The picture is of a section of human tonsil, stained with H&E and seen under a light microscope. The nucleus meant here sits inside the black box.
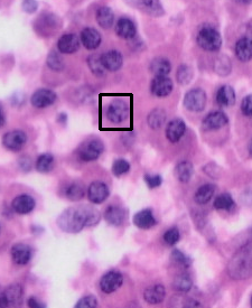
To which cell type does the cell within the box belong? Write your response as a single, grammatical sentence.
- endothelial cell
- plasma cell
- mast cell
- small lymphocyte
Histopathologically, the cell within the box is a plasma cell.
